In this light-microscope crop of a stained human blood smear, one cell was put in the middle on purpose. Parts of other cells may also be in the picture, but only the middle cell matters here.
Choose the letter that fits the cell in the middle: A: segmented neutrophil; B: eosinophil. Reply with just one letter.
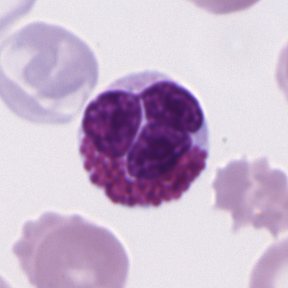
B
